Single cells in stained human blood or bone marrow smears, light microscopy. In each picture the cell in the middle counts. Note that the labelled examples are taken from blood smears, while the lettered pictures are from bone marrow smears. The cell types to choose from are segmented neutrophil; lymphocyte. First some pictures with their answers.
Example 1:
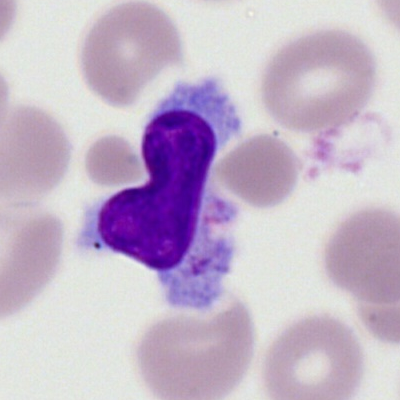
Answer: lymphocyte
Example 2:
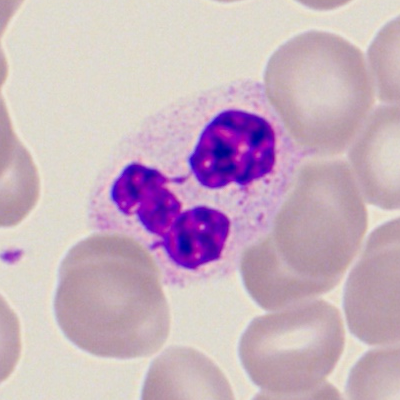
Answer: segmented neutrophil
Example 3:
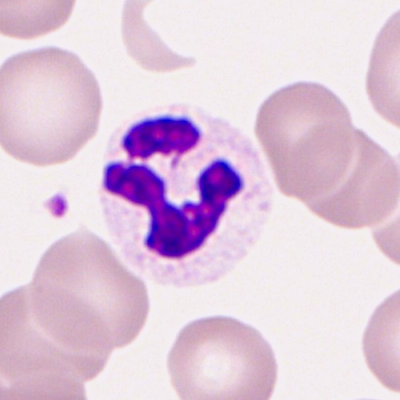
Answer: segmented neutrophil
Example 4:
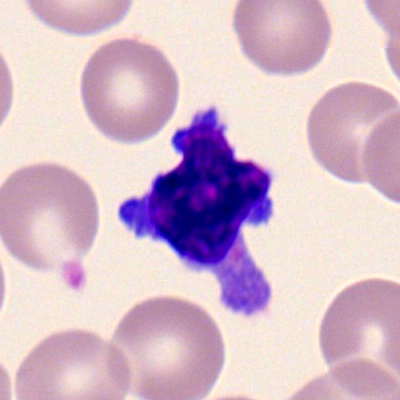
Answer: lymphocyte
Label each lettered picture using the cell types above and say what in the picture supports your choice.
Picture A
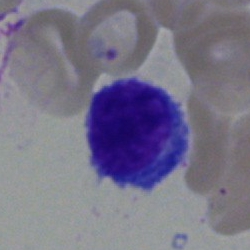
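lymphocyte. The nucleus fills most of the cell.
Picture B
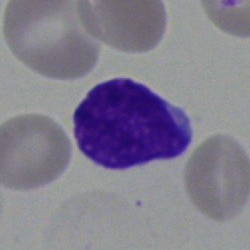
lymphocyte. The nucleus fills almost the whole cell.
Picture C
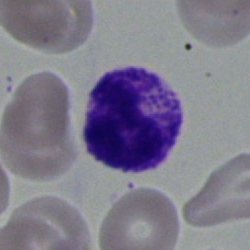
segmented neutrophil. Coarse dark purple granules fill the whole cell.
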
